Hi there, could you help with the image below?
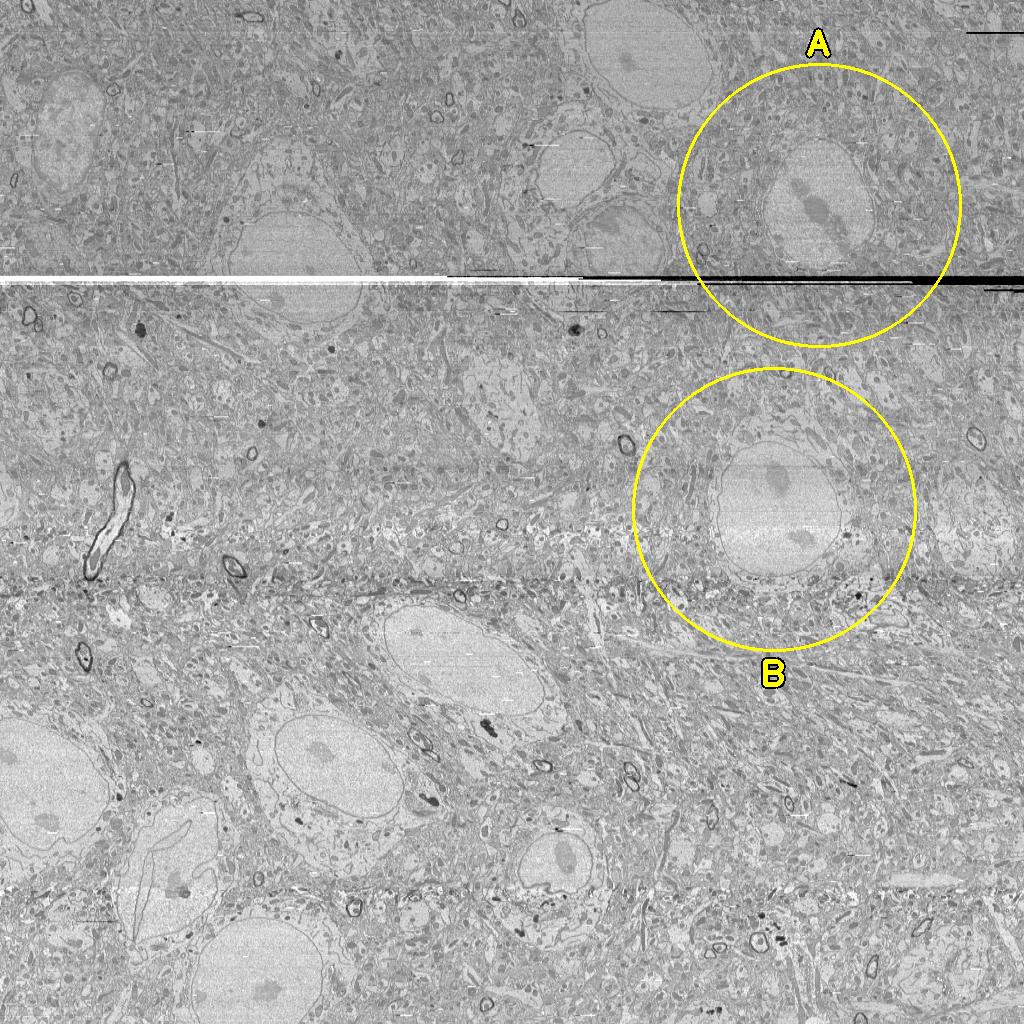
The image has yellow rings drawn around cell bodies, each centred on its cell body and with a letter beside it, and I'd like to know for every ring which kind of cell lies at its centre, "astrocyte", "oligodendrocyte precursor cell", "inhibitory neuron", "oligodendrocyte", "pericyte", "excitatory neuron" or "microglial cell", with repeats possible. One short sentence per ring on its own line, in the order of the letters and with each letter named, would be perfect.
Ring A is placed around an astrocyte.
Ring B is placed around an excitatory neuron.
